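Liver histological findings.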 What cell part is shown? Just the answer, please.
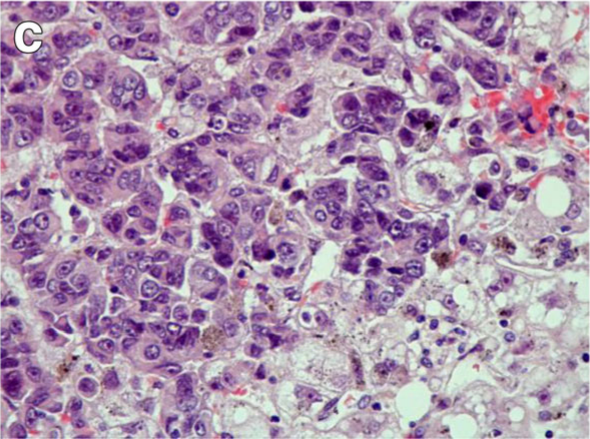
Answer: Nucleoli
